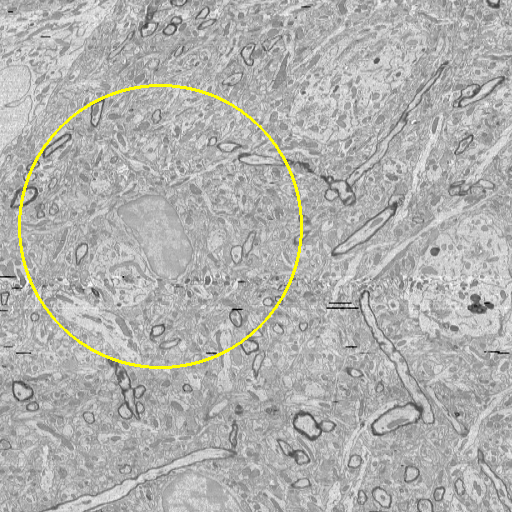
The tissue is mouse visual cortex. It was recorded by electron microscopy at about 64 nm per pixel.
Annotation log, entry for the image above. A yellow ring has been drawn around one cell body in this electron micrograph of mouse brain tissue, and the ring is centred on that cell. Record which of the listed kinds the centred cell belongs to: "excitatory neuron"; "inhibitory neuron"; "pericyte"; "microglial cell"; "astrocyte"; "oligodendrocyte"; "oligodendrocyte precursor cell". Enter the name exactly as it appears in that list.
microglial cell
